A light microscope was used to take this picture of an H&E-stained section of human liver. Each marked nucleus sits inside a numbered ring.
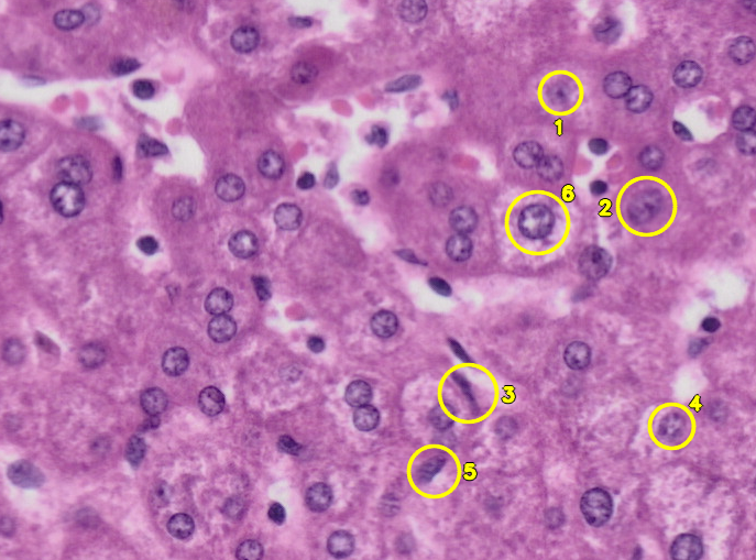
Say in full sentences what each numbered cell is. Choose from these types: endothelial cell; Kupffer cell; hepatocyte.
Cells 1, 2, 4 and 6 are hepatocytes. Cell 3 is a Kupffer cell. Cell 5 is an endothelial cell.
